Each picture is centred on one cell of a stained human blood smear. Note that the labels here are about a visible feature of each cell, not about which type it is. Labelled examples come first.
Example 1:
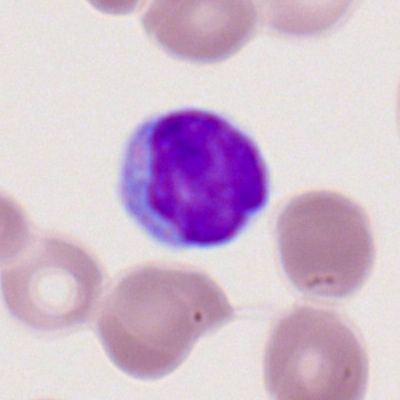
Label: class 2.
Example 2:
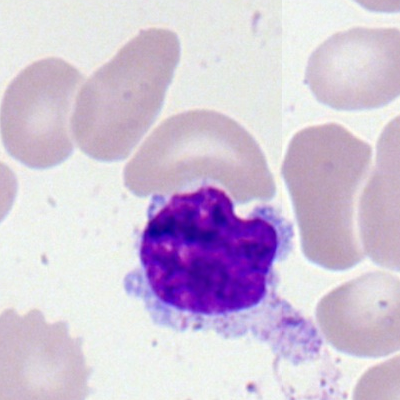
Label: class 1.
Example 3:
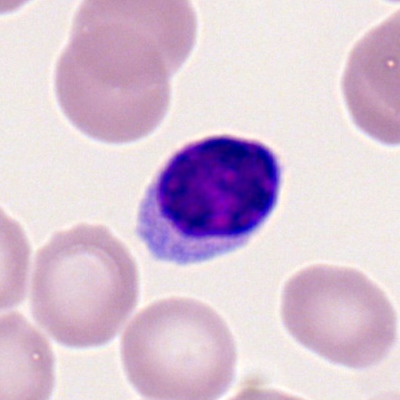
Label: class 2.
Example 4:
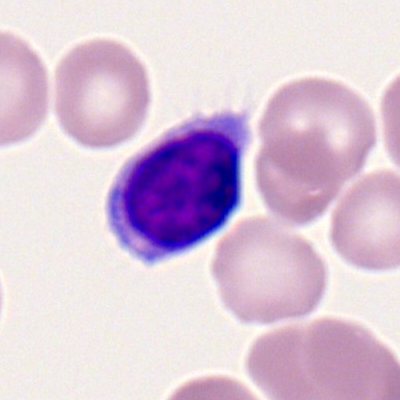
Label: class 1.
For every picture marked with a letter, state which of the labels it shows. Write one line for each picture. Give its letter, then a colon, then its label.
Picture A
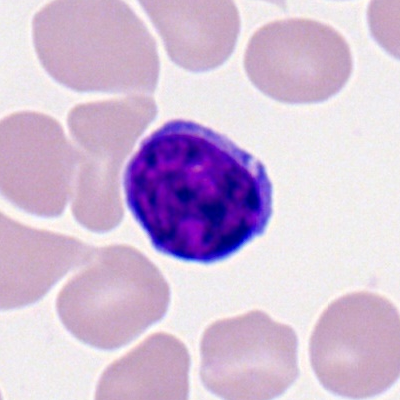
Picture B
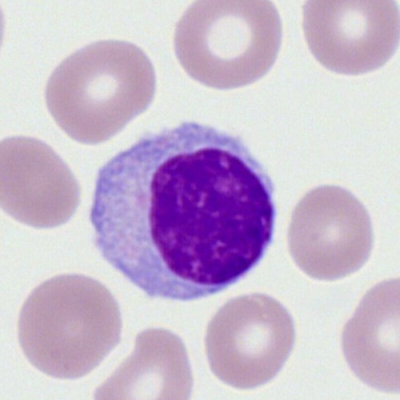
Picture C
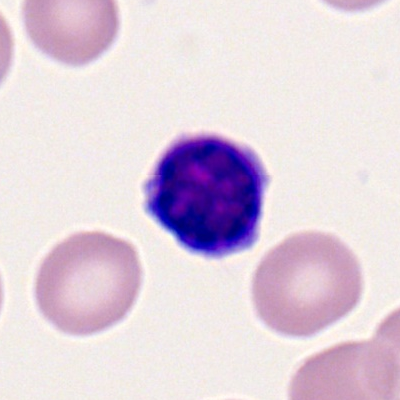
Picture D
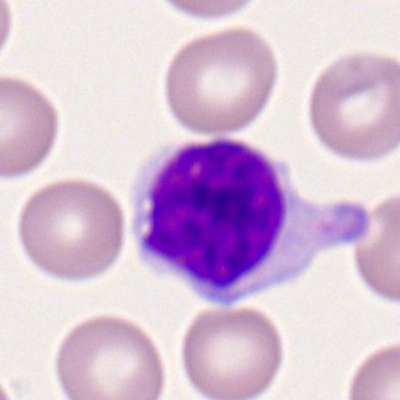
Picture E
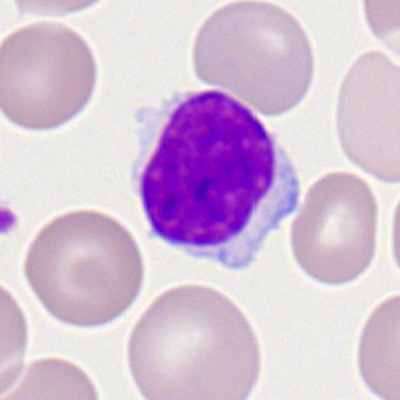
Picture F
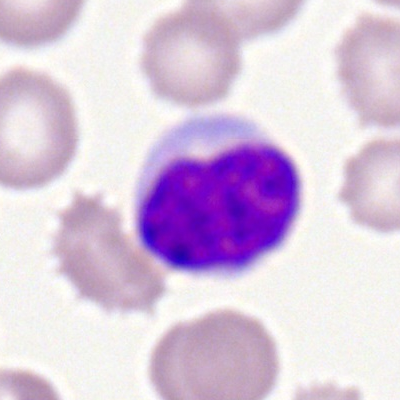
A: class 2.
B: class 1.
C: class 1.
D: class 1.
E: class 1.
F: class 2.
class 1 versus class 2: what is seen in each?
class 1: ragged outline or projections; class 2: smooth outline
